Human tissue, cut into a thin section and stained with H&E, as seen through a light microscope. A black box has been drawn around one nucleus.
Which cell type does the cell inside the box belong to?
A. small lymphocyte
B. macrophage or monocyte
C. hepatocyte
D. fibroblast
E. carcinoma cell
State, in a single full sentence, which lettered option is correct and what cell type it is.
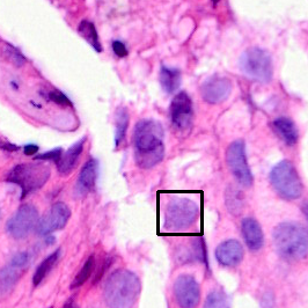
Option E properly identifies the cell inside the box as a carcinoma cell.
